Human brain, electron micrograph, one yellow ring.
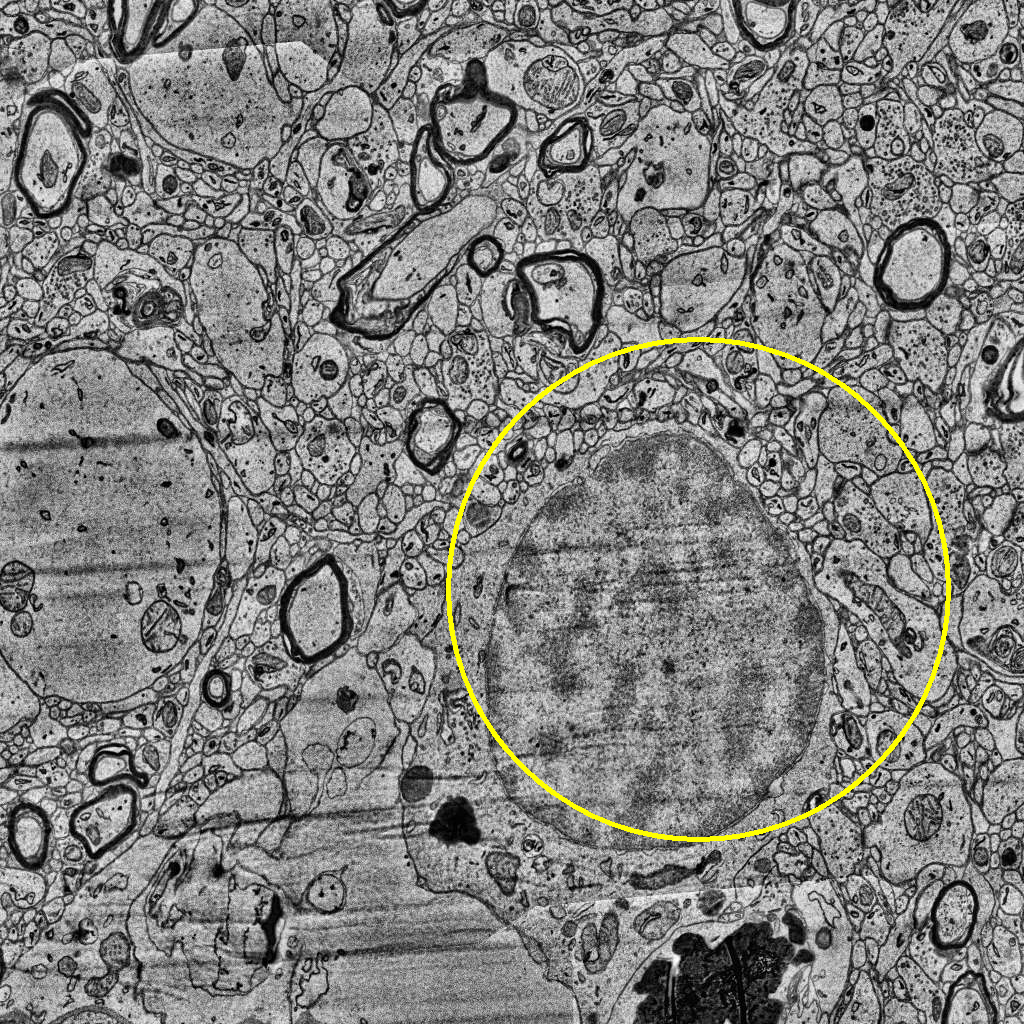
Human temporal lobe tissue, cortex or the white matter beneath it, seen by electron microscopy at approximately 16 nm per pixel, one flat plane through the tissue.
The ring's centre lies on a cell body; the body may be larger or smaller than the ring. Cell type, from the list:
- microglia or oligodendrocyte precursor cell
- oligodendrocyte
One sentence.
The yellow ring's centre lies on an oligodendrocyte.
